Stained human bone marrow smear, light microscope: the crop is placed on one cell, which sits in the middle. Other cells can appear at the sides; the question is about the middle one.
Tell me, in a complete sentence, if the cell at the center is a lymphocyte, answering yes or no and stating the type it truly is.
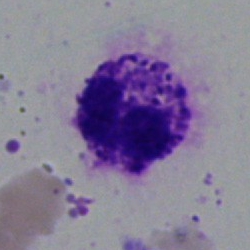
No, the cell at the center of this crop is a basophil instead of a lymphocyte.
